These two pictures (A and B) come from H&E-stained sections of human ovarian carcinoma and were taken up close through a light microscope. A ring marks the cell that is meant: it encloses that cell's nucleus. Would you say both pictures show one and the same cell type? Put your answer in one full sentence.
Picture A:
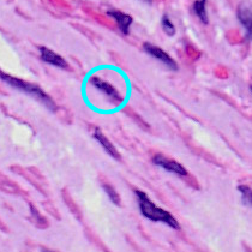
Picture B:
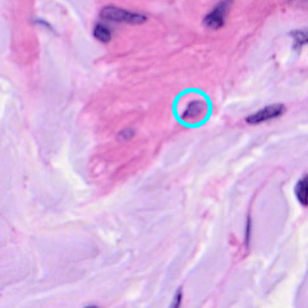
No, picture A shows a fibroblast and picture B shows a smooth muscle cell.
